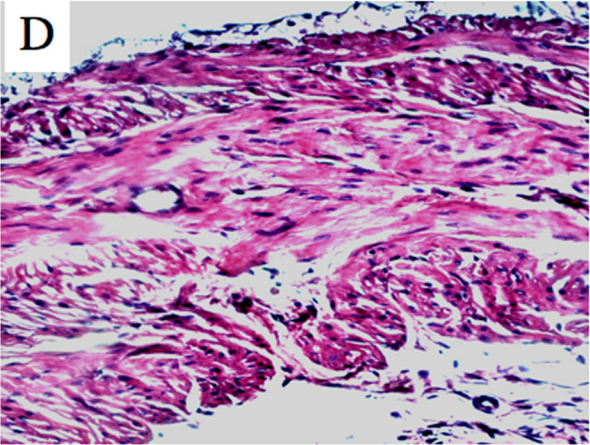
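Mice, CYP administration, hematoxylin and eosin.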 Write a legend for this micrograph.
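This high-power view shows the outer wall of the urinary bladder. The wall is built of bundles of pink-staining smooth muscle cells with slender, elongated dark nuclei. The bundles are cut at different angles and are separated by pale strands of loose connective tissue. A thin layer of flattened cells covers the outer surface at the top, and a small vessel is visible within the connective tissue.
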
